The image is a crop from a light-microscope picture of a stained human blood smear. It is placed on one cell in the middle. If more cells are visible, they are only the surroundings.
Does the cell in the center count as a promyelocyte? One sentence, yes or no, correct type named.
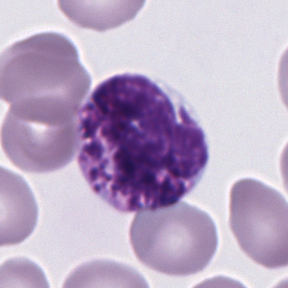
No, the central cell is classed as a basophil and not as a promyelocyte.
